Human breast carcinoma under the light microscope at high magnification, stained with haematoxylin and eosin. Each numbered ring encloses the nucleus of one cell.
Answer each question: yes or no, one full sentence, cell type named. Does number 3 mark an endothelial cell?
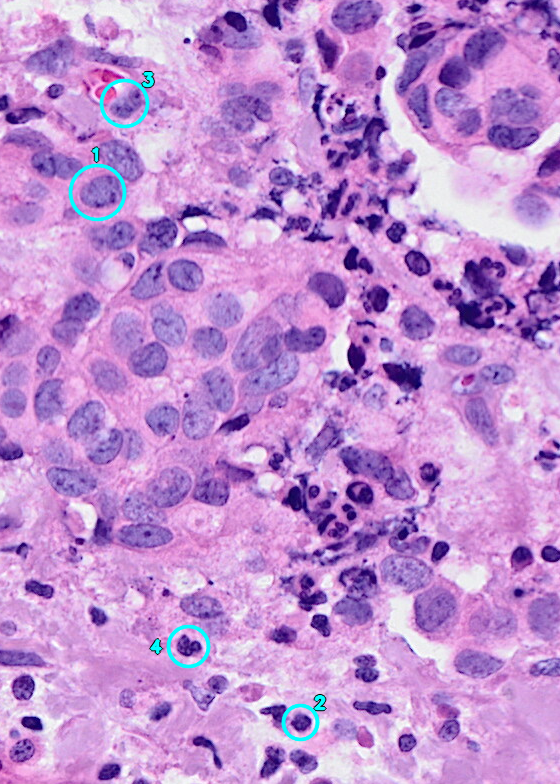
Yes, the cell tagged with the number 3 is an endothelial cell.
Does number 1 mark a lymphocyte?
No, a carcinoma cell, not a lymphocyte, is the cell with number 1.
